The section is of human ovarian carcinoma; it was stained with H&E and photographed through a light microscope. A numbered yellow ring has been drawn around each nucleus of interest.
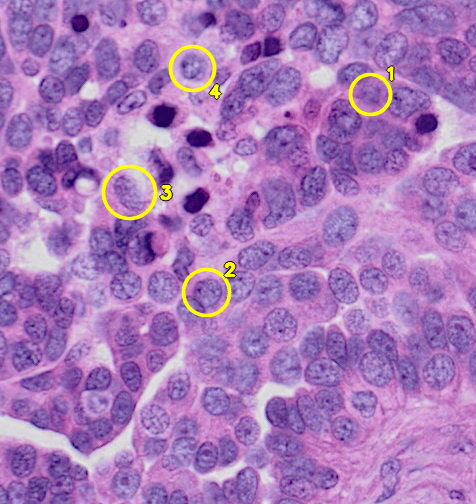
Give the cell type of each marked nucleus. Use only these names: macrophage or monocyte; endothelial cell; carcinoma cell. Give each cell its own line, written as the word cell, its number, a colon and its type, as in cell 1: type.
cell 1: carcinoma cell
cell 2: carcinoma cell
cell 3: carcinoma cell
cell 4: macrophage or monocyte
